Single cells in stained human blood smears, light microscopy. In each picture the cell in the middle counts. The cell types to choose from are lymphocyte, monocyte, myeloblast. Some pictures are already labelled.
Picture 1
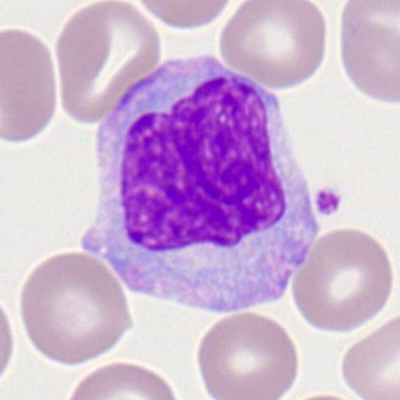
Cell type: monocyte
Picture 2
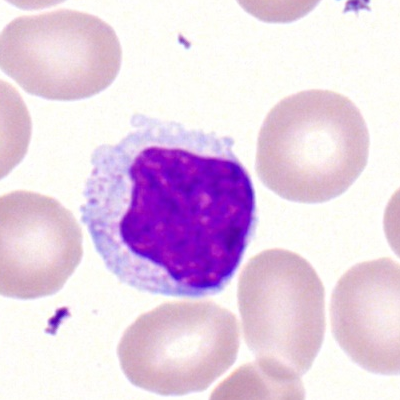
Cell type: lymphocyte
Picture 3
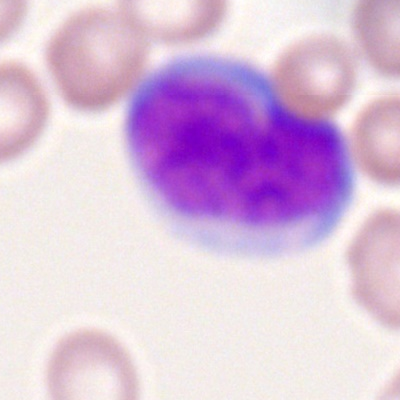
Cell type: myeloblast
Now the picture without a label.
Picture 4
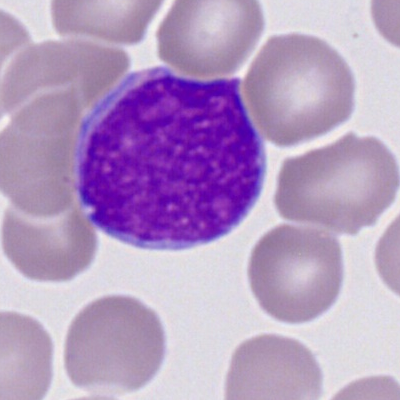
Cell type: myeloblast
